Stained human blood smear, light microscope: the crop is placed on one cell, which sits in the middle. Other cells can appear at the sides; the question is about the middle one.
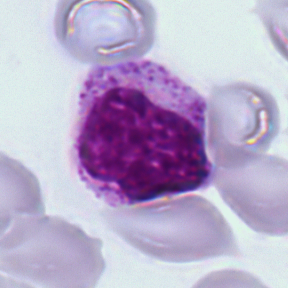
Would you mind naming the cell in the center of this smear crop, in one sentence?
Here the cell in the middle is a band neutrophil.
